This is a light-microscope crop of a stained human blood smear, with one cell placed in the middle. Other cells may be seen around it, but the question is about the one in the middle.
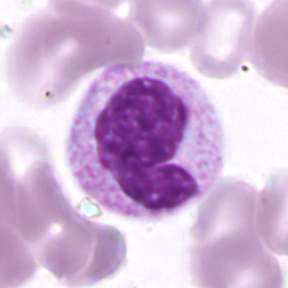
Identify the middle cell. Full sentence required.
Among the cells in view, the one in the middle is a band neutrophil.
